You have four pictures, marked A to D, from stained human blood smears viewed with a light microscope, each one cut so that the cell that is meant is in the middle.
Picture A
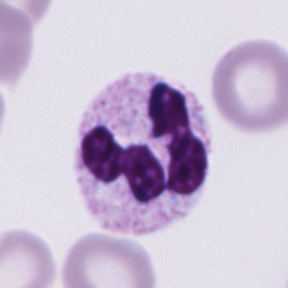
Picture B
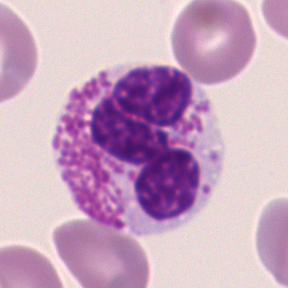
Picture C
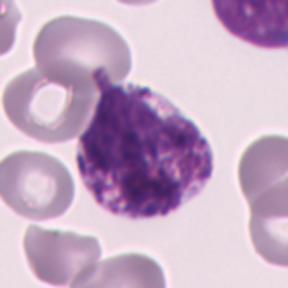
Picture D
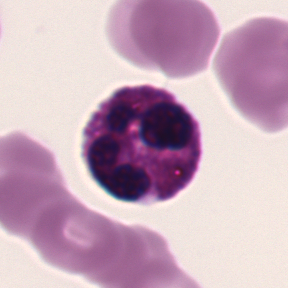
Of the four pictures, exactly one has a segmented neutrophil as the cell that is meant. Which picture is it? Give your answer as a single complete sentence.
Picture A shows the segmented neutrophil.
